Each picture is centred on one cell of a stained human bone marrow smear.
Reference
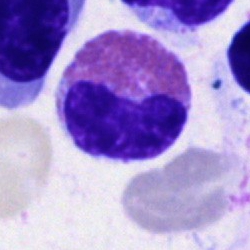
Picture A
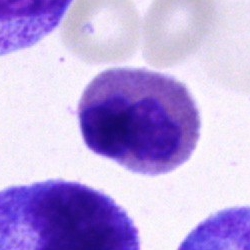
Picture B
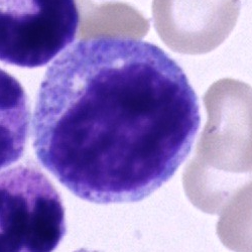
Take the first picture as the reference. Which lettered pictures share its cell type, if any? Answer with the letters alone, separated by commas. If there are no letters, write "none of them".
A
